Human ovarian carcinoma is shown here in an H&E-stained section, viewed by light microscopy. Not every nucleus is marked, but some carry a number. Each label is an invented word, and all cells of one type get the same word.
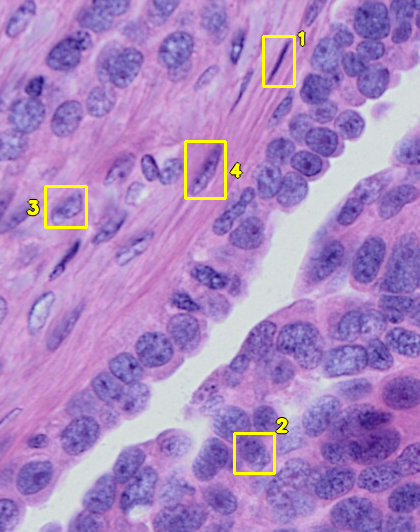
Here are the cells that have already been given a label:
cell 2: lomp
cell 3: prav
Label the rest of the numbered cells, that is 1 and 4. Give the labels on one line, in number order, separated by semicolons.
prav; prav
